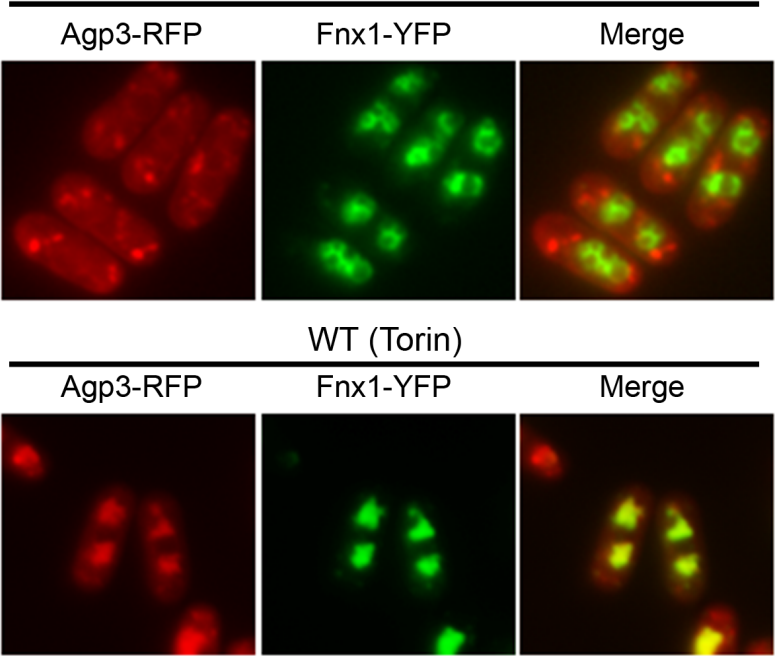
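These are small rod-shaped cells with rounded ends, seen by fluorescence, with their vacuoles lit in green. In the upper row the green outlines clusters of rounded compartments near the middle of each cell, while the red lies as a faint haze through the cytoplasm with a few bright dots scattered toward the cell edges and ends; the red and green barely overlap. In the lower row the cells look similar in shape, but the red is now gathered into the same central clusters as the green, so the merged image shows bright yellow patches where the two colours coincide, and few separate red dots remain.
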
